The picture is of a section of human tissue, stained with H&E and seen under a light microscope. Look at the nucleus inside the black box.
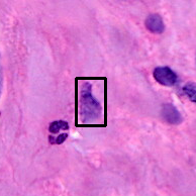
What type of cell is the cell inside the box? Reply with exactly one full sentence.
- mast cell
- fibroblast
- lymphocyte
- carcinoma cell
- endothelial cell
Microscopically, the cell inside the box is categorized as a fibroblast.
